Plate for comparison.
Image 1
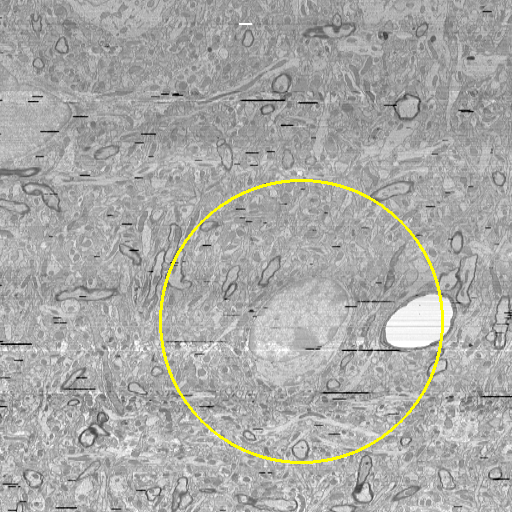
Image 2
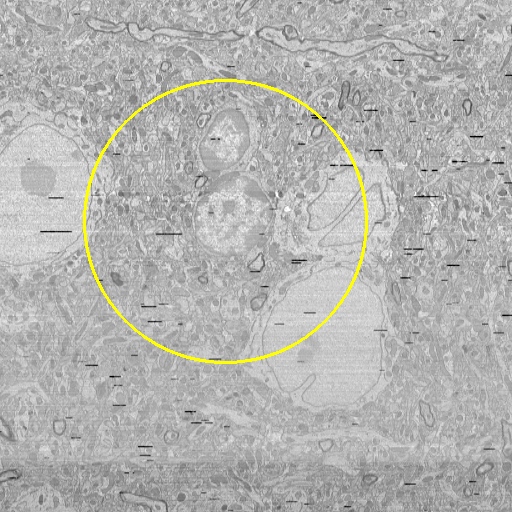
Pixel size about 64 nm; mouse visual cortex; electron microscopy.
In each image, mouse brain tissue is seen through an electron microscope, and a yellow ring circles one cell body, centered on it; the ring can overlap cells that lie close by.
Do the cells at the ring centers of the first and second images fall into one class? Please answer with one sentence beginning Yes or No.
Yes, the first and second images show a single class of cell at the ring centers.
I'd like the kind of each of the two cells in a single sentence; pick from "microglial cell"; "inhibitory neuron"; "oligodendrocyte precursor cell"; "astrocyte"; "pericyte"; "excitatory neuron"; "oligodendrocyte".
In each of the two pictures, the ringed cell is an oligodendrocyte.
